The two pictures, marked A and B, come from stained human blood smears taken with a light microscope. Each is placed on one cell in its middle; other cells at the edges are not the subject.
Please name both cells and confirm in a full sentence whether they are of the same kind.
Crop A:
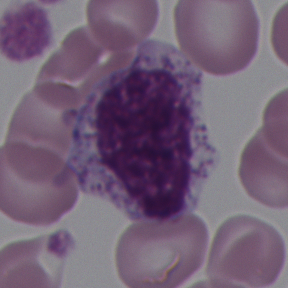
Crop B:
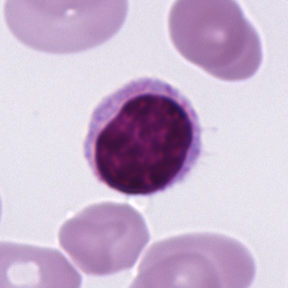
No, a large granular lymphocyte is in crop B, and a myelocyte is in crop A.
